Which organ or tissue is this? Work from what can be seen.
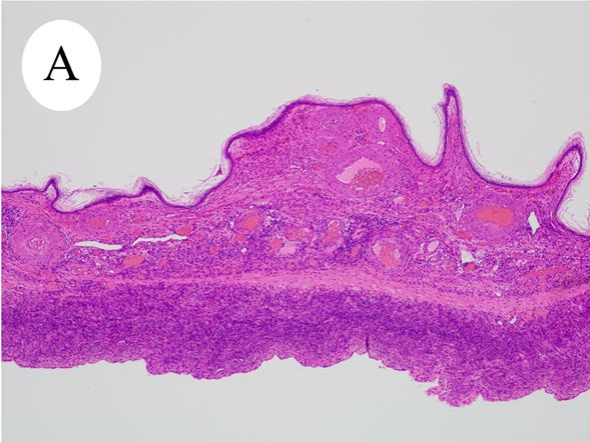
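A thin dark epithelial lining runs along the upper surface. Thin layers of keratin lie on the lining surface. Fibrovascular wall lies beneath the lining, with a dense cellular layer deeper down.
Hence: keratinized squamous epithelium.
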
